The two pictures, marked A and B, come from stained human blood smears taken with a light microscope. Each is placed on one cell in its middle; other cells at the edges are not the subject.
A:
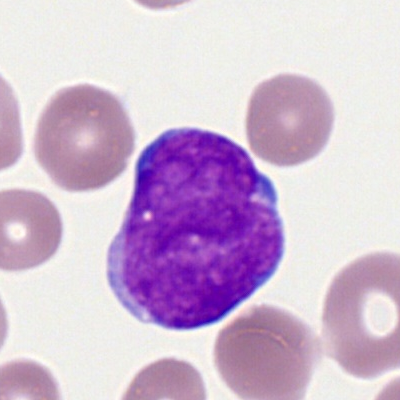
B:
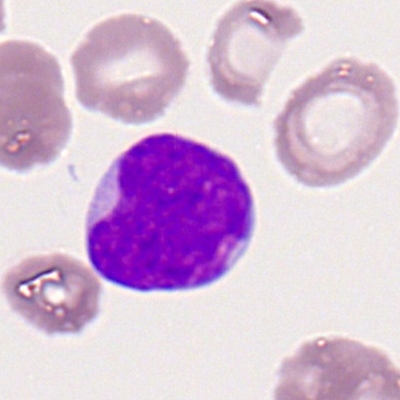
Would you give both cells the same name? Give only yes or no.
yes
